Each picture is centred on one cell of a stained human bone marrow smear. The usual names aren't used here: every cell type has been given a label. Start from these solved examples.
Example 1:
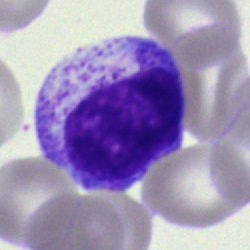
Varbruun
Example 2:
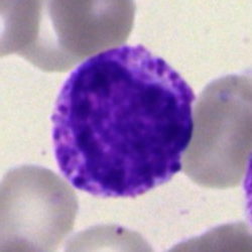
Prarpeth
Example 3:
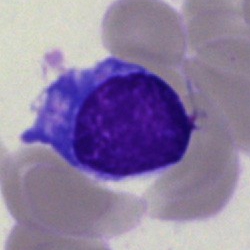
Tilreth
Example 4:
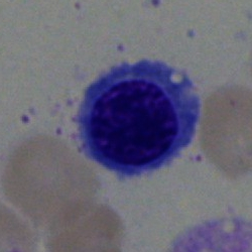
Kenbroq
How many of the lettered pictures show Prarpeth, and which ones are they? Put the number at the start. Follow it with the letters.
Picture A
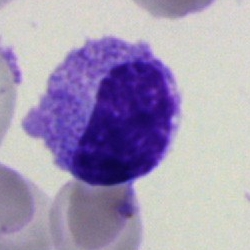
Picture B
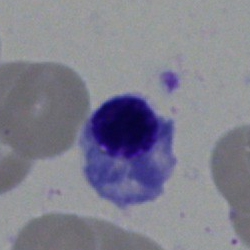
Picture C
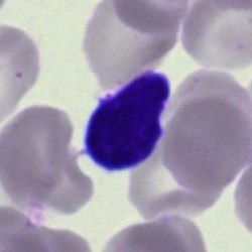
0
